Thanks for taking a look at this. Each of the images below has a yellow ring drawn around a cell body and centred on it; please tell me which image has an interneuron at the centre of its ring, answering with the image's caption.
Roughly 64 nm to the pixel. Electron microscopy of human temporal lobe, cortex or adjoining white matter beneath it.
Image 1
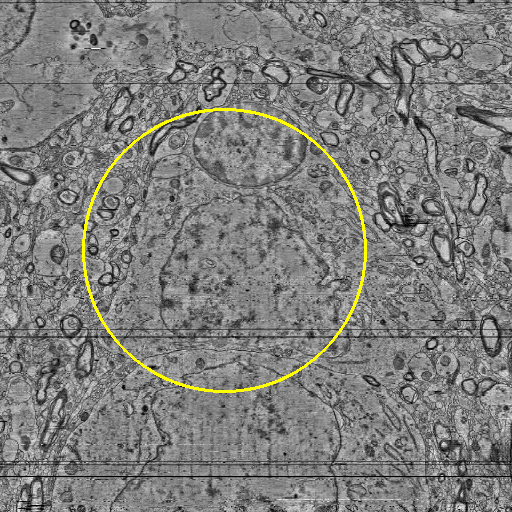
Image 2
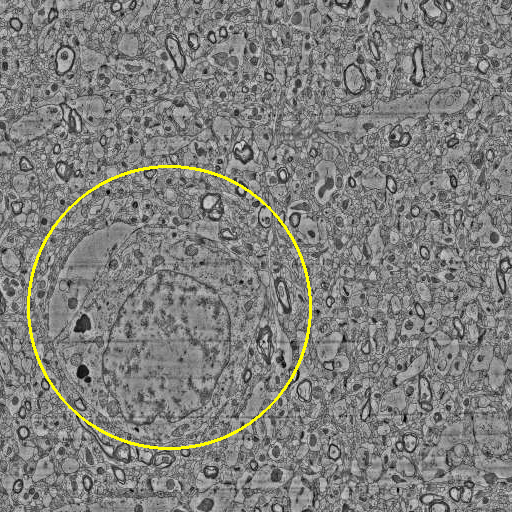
Image 1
